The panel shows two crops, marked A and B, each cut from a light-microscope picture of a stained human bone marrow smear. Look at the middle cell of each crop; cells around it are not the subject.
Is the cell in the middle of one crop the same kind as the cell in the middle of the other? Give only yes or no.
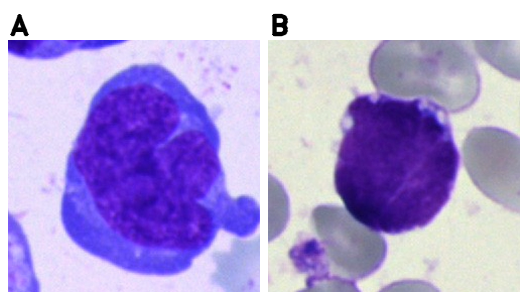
yes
